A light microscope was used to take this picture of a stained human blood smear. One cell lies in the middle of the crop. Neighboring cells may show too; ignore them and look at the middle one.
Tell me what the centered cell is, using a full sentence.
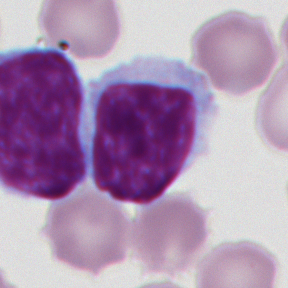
The cell positioned in the middle of the field is a typical lymphocyte.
